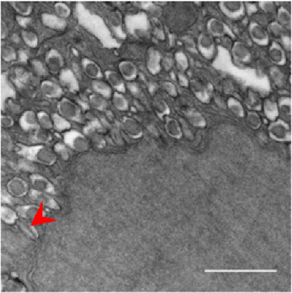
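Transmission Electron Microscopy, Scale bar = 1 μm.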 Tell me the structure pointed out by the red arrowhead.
granules with a “rod-shaped” core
